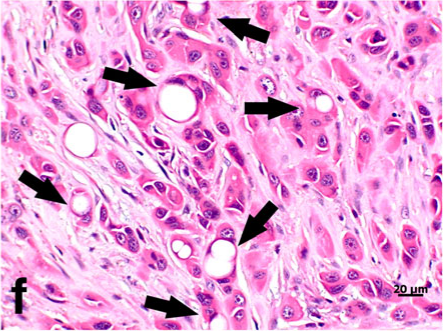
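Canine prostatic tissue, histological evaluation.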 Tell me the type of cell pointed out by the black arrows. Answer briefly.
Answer: Signet ring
